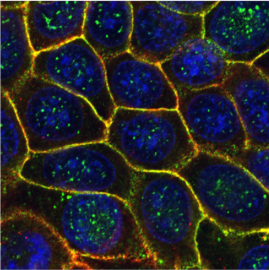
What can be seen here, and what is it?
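These are tightly packed epithelial cells growing as a cobblestone sheet, each cell polygonal to rounded with a large oval blue nucleus filling much of the cell. The borders between neighbouring cells are outlined by a continuous bright line where red and green overlap to give yellow to orange, tracing every cell-cell contact like a honeycomb. Inside the cells, small discrete green dots are scattered through the cytoplasm and over the nuclear region, while the red is confined almost entirely to the contacts. The free cytoplasm between border and nucleus is only faintly stained.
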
